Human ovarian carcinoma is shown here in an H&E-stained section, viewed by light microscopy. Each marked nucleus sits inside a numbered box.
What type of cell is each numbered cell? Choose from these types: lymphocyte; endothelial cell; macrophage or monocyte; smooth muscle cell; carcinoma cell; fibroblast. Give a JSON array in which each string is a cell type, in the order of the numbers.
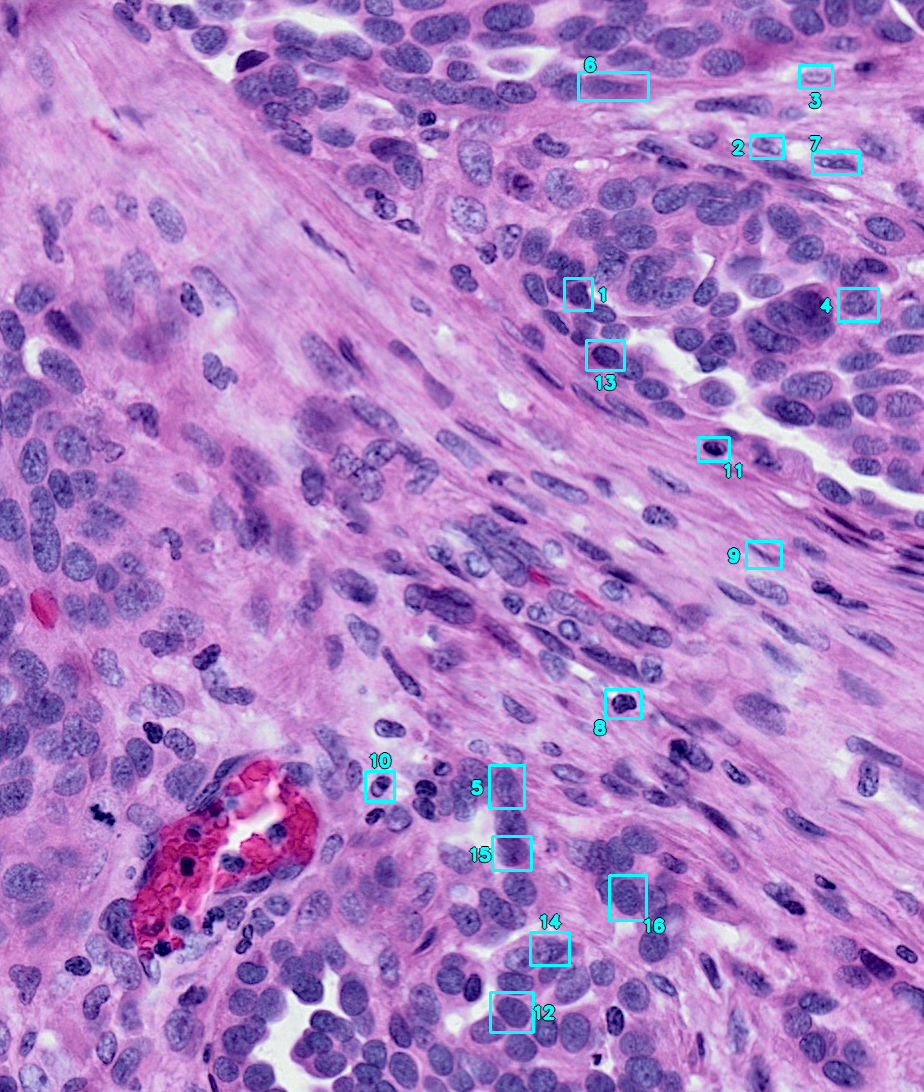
["carcinoma cell", "fibroblast", "fibroblast", "carcinoma cell", "carcinoma cell", "carcinoma cell", "fibroblast", "lymphocyte", "fibroblast", "lymphocyte", "lymphocyte", "carcinoma cell", "carcinoma cell", "carcinoma cell", "carcinoma cell", "carcinoma cell"]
